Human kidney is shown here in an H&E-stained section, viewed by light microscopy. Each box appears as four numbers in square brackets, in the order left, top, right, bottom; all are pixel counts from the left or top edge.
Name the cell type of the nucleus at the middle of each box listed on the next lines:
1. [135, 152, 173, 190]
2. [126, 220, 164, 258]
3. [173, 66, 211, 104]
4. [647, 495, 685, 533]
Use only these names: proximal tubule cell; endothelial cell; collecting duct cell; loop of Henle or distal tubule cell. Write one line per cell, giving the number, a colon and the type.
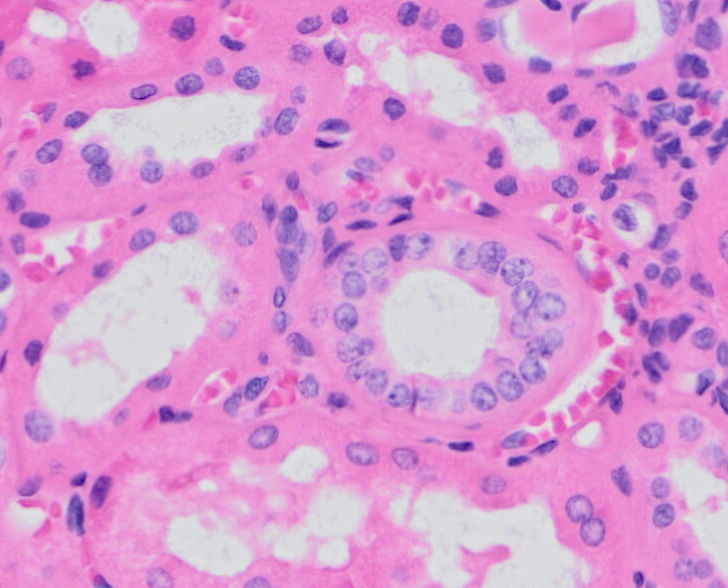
1: loop of Henle or distal tubule cell
2: loop of Henle or distal tubule cell
3: loop of Henle or distal tubule cell
4: collecting duct cell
